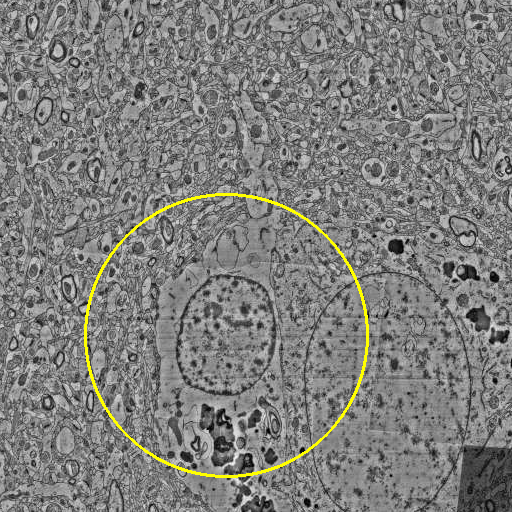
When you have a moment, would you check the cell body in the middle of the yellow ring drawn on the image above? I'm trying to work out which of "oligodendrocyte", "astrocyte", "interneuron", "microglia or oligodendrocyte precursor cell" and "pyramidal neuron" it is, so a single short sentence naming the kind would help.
This cell body belongs to an astrocyte.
